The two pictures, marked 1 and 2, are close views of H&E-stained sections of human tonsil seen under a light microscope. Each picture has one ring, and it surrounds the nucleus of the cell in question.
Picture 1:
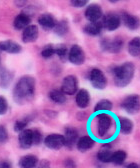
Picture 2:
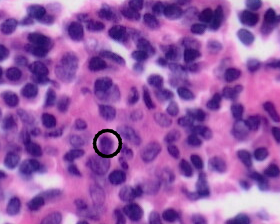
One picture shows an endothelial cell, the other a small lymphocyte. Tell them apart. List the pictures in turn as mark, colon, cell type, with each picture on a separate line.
1: small lymphocyte
2: endothelial cell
